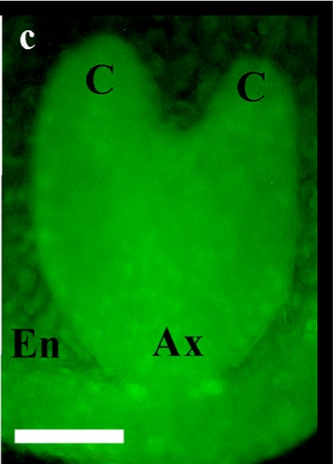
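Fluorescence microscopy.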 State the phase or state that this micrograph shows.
Heart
